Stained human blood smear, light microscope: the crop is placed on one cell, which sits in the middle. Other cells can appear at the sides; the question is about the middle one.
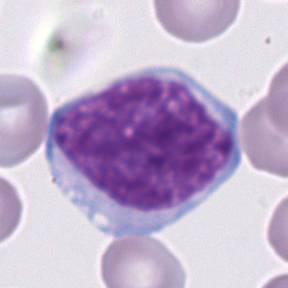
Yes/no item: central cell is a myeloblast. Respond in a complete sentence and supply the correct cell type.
Yes, the cell centred in this crop is a myeloblast.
